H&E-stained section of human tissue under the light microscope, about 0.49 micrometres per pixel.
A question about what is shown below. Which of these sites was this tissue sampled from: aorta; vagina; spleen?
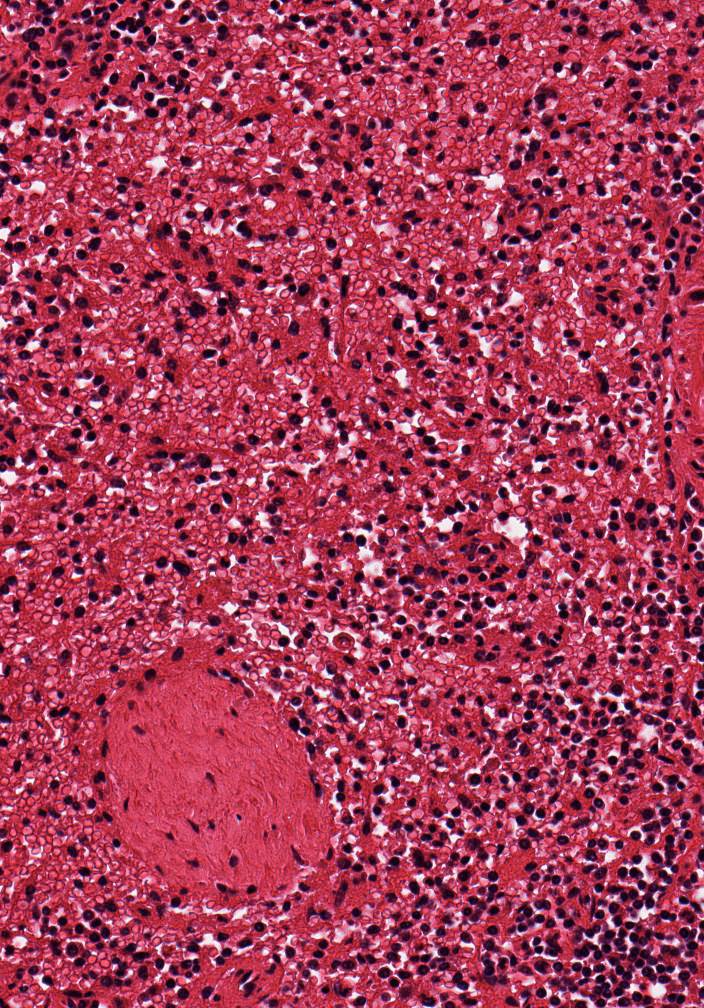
spleen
